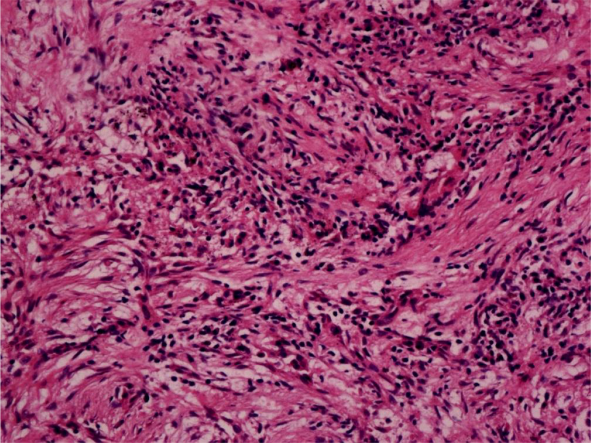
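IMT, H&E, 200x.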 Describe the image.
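This tumour is made of spindle-shaped cells with elongated nuclei and pale pink cytoplasm, arranged in loose interlacing bundles. Scattered among them are many small cells with round, dark nuclei, which are chronic inflammatory cells. Pink collagen strands and pale, loose areas lie between the bundles.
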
